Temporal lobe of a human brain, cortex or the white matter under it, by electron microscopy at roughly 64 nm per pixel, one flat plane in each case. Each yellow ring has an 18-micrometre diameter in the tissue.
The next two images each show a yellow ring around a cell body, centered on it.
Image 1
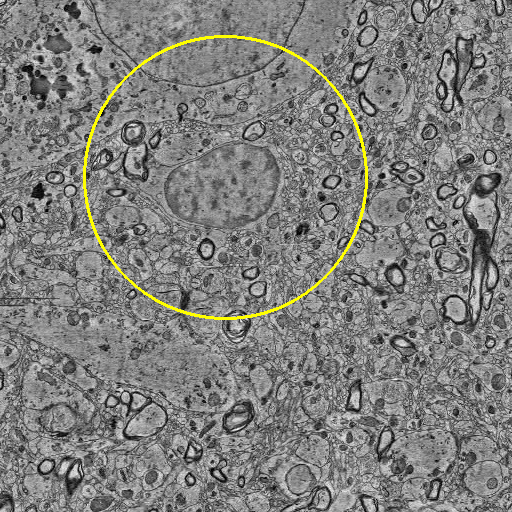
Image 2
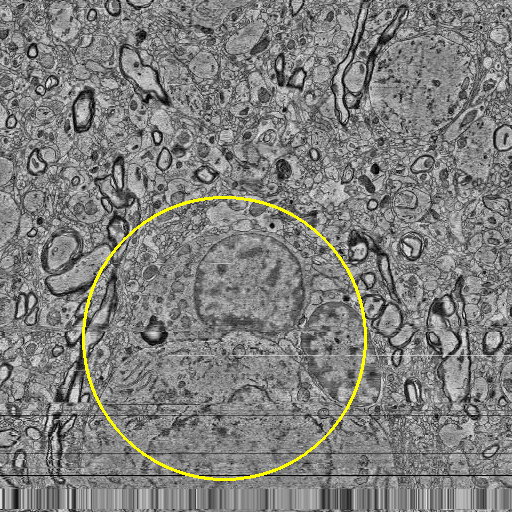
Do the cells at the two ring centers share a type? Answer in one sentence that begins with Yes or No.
Yes, across the two images the cells at the ring centers share one type.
